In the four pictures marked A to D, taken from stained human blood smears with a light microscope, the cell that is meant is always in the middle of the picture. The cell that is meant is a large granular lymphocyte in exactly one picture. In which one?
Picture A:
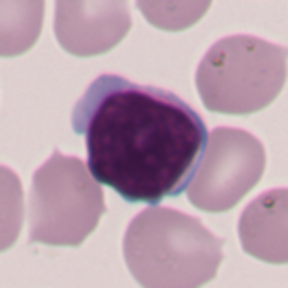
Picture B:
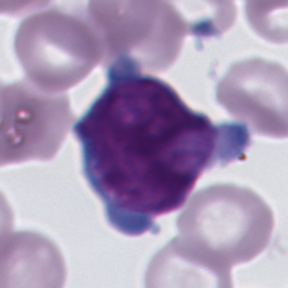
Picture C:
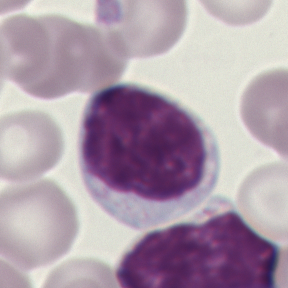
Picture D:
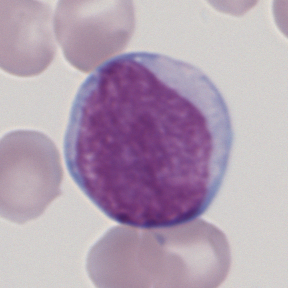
C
